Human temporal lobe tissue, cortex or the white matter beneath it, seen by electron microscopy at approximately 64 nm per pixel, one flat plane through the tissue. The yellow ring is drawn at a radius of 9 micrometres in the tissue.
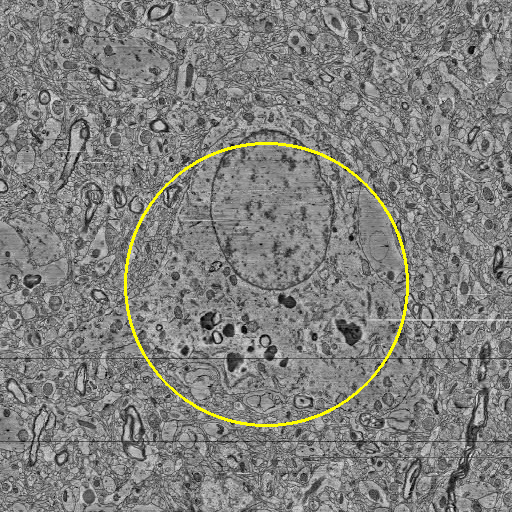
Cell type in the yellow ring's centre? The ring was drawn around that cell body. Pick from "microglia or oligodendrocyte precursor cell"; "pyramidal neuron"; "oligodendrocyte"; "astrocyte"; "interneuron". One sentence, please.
The ringed cell body is that of a pyramidal neuron.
